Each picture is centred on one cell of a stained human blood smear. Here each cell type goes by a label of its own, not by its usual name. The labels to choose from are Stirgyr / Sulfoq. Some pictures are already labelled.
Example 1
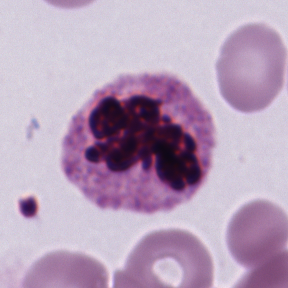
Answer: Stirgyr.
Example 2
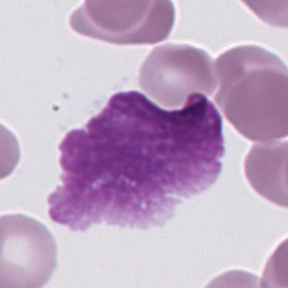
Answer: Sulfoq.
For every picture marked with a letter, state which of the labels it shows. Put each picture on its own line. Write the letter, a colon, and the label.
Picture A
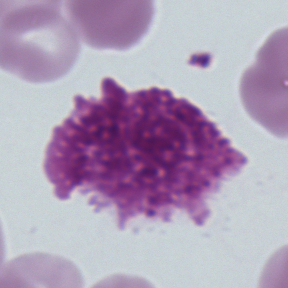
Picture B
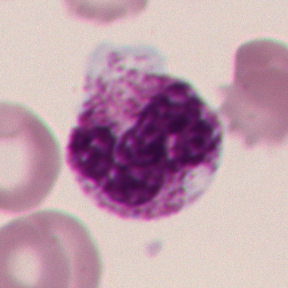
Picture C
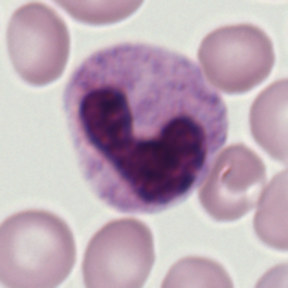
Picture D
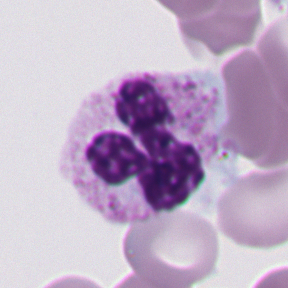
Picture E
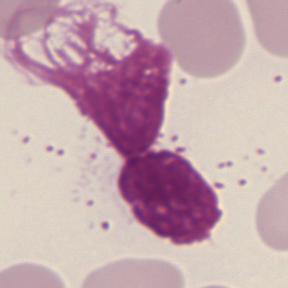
A: Sulfoq.
B: Stirgyr.
C: Stirgyr.
D: Stirgyr.
E: Sulfoq.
